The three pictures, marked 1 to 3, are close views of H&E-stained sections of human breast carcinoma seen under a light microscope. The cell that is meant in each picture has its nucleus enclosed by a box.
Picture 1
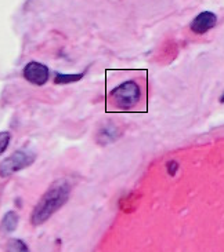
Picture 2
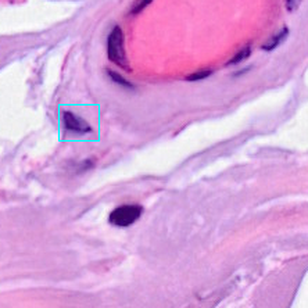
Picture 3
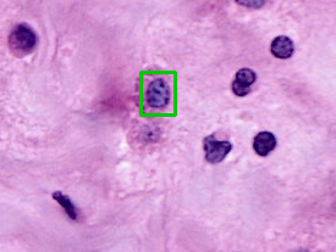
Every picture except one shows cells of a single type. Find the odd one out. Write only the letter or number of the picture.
2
